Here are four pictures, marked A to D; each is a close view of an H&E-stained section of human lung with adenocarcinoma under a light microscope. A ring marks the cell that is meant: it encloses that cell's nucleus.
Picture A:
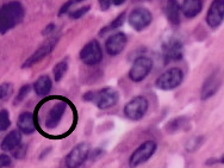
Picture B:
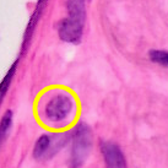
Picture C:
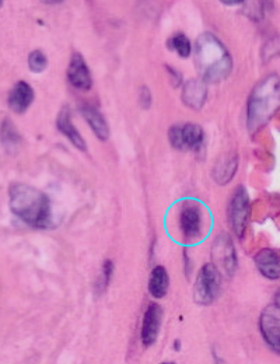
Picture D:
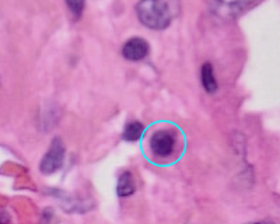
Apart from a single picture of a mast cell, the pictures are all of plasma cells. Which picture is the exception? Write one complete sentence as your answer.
The mast cell is the one in picture B.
